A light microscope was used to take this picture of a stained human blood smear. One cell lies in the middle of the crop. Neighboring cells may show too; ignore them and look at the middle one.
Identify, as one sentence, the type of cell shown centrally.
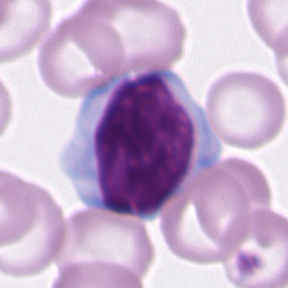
The central cell in this smear crop is a typical lymphocyte.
